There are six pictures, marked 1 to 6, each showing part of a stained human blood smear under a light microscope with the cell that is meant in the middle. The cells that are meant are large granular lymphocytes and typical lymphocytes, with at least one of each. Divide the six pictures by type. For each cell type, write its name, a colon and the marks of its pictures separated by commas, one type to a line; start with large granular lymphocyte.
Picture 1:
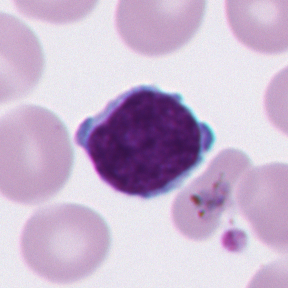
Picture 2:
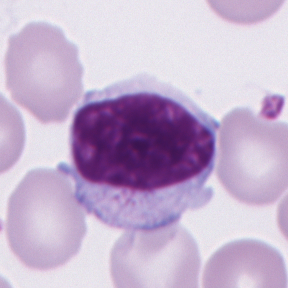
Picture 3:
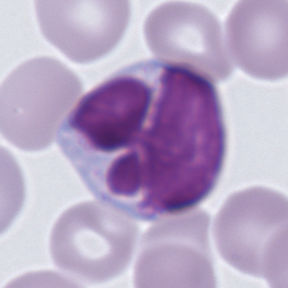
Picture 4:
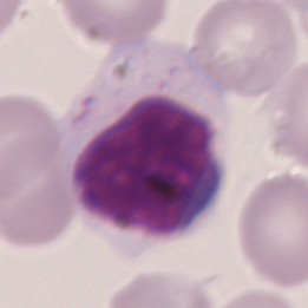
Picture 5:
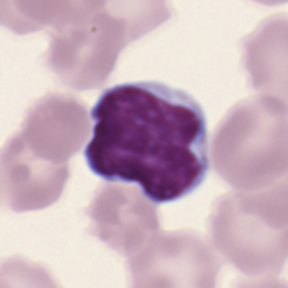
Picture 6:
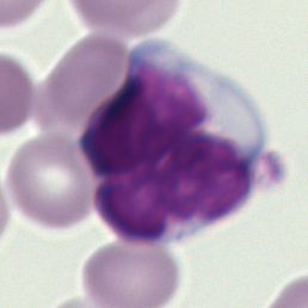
large granular lymphocyte: 2, 3, 4, 6
typical lymphocyte: 1, 5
